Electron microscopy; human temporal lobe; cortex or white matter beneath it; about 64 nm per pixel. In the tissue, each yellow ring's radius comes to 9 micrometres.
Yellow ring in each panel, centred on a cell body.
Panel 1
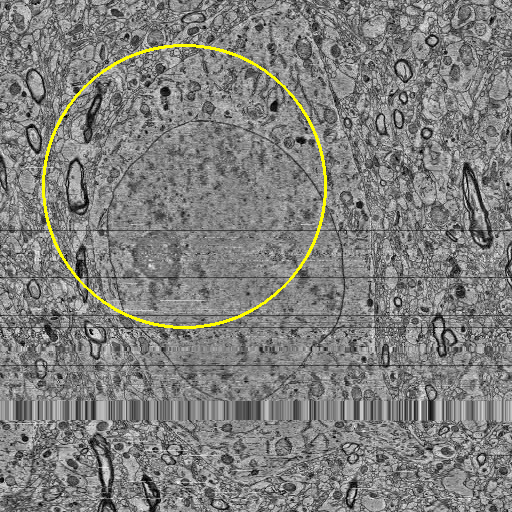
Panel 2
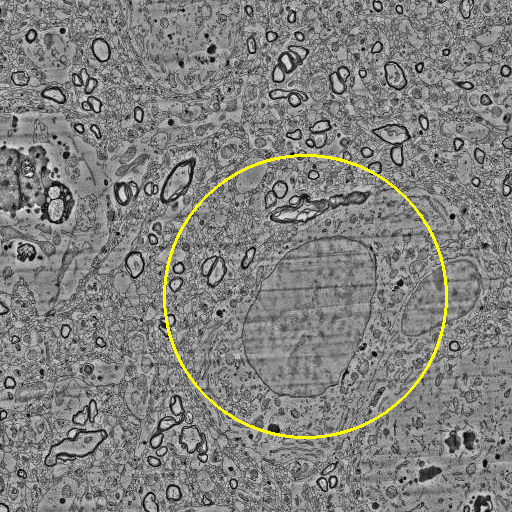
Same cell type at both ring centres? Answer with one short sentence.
No, the two cells are of two types.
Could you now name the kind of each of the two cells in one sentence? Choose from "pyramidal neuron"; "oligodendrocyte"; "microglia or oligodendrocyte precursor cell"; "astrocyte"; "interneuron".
The first ring encloses a pyramidal neuron; the second ring encloses an interneuron.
